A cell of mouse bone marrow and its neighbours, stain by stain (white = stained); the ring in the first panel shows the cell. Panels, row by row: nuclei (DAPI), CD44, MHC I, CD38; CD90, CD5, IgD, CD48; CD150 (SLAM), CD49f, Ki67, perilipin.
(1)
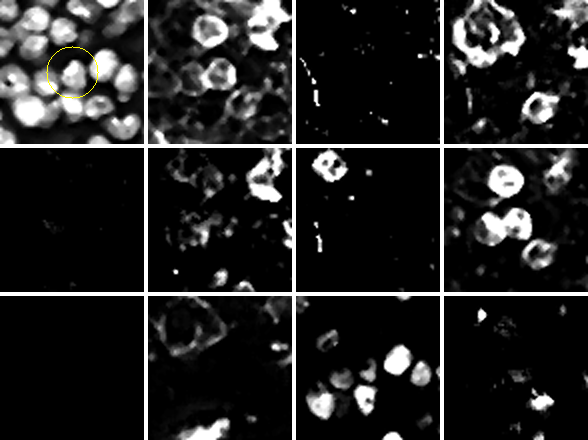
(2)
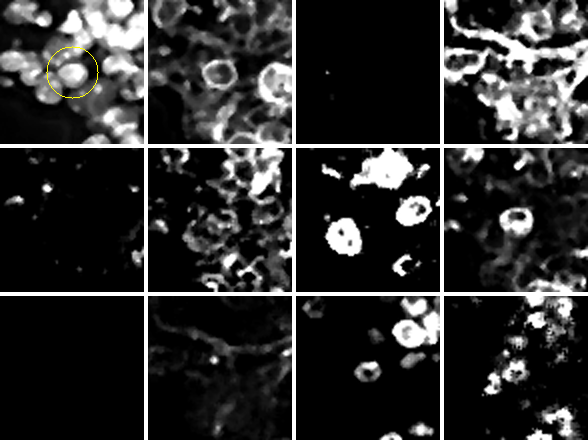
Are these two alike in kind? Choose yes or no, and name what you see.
Yes. Monocytes.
